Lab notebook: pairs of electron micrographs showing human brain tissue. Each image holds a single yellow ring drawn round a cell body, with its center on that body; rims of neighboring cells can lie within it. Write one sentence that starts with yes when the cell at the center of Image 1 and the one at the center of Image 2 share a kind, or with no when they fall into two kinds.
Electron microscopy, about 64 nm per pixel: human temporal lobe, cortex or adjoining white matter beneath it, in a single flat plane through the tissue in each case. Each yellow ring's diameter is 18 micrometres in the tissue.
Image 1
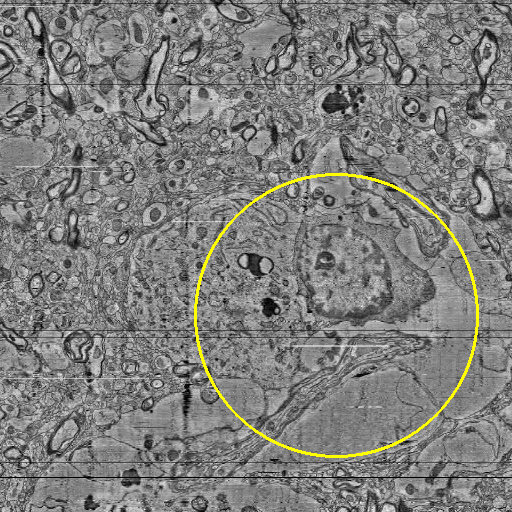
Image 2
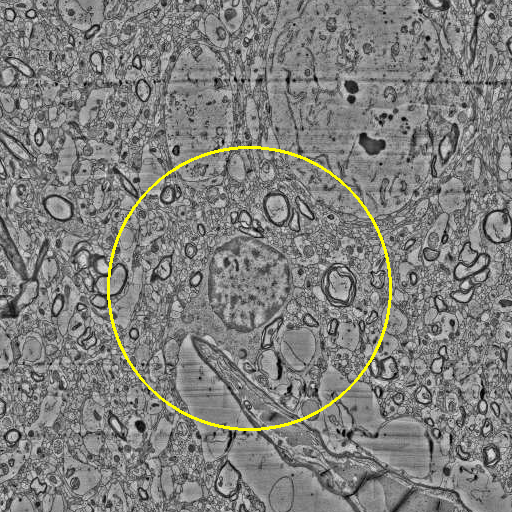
Yes, the centered cell in Image 1 and the centered cell in Image 2 are of one kind.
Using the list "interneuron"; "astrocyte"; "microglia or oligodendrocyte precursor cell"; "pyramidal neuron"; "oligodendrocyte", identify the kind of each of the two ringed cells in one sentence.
Each of the two pictures has an oligodendrocyte at the ring centre.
